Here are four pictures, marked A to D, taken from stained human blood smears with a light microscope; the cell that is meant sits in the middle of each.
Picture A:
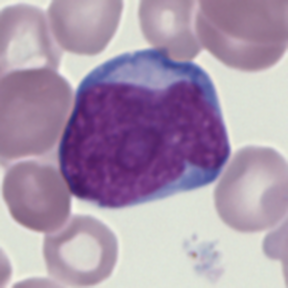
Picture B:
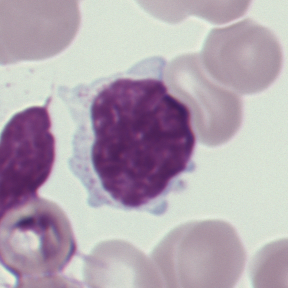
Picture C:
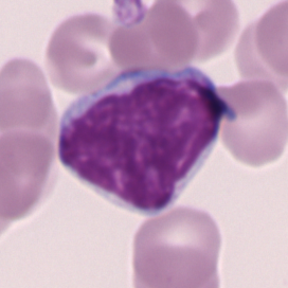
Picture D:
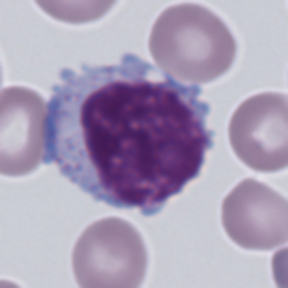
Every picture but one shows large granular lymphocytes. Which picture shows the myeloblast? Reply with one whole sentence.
The cell in picture A is the myeloblast.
